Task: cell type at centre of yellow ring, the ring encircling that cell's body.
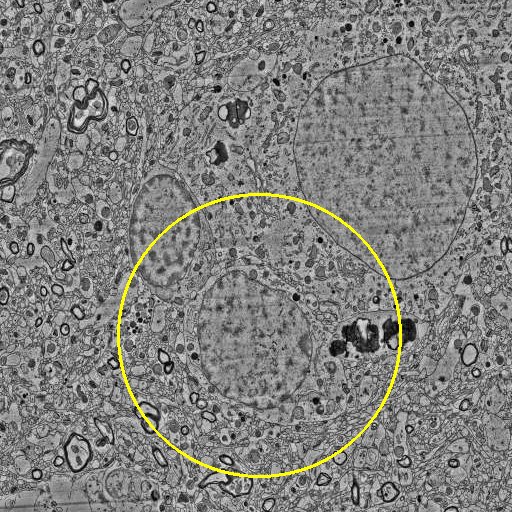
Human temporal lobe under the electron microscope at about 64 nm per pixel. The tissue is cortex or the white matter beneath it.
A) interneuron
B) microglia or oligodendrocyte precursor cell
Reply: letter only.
A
